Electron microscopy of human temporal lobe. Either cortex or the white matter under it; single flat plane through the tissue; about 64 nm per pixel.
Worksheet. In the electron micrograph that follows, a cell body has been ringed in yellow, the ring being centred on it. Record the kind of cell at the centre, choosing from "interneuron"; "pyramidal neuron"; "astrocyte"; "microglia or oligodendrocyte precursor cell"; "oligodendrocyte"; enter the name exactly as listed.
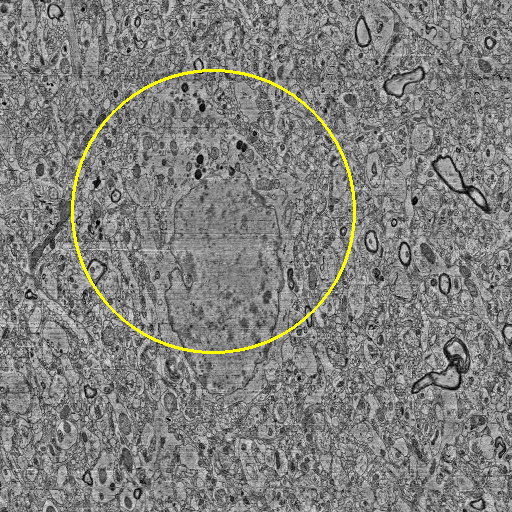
interneuron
